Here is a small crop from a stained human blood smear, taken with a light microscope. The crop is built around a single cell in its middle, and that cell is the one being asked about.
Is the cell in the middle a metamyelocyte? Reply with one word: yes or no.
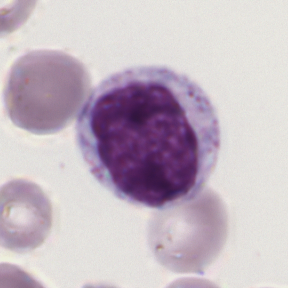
yes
